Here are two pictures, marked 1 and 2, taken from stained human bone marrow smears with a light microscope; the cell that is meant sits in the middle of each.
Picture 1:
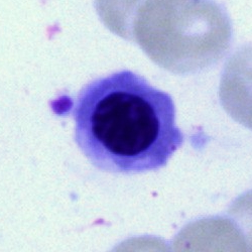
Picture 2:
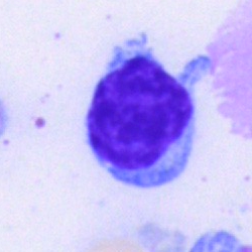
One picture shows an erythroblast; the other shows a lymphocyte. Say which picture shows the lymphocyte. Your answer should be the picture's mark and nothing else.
2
